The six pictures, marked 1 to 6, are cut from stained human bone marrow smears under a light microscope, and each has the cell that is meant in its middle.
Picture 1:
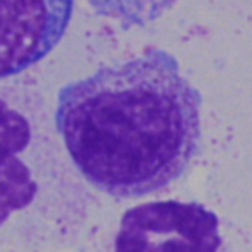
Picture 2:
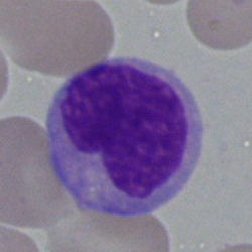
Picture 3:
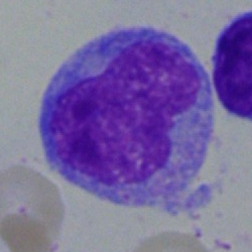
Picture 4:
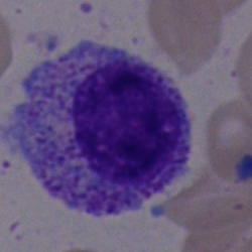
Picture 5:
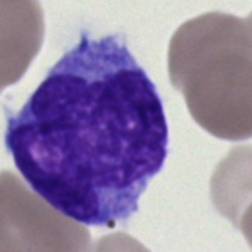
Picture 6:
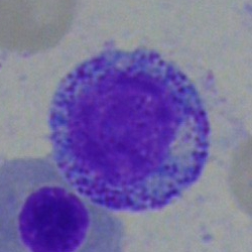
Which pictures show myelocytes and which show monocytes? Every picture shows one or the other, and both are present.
1: myelocyte
2: monocyte
3: monocyte
4: myelocyte
5: monocyte
6: myelocyte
